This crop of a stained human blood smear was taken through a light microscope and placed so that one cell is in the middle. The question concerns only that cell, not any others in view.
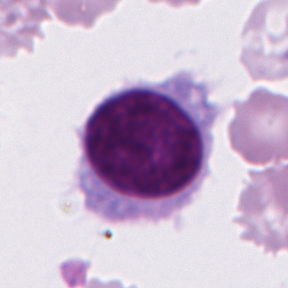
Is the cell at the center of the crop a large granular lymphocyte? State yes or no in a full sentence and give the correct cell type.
No, the middle cell is classified as a hairy cell instead of a large granular lymphocyte.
